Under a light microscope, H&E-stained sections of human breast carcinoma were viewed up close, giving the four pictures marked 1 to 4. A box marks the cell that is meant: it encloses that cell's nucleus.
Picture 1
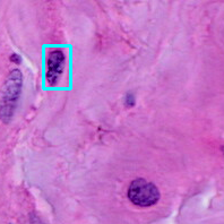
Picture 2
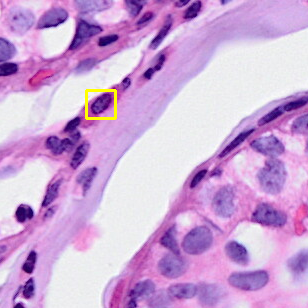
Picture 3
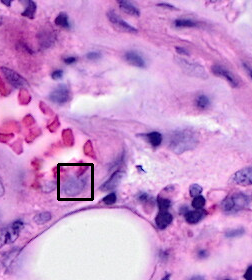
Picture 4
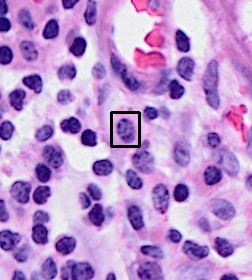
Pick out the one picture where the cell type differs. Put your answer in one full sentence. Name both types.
The different one is picture 3; it shows an endothelial cell, whereas all the others show mast cells.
